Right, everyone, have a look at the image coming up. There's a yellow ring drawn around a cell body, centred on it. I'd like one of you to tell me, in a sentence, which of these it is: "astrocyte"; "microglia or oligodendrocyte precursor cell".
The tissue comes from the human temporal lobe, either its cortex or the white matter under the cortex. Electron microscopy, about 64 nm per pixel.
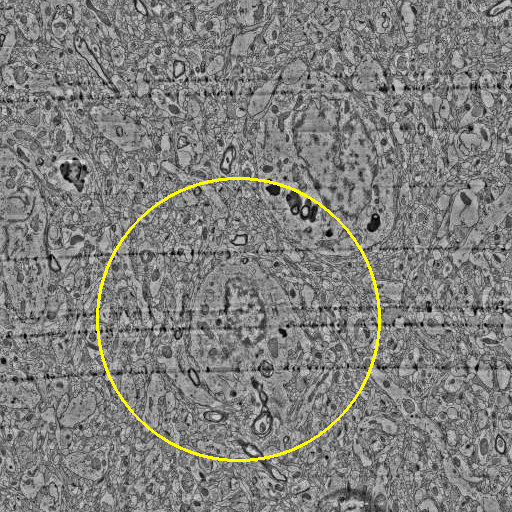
The yellow ring sits on an astrocyte.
